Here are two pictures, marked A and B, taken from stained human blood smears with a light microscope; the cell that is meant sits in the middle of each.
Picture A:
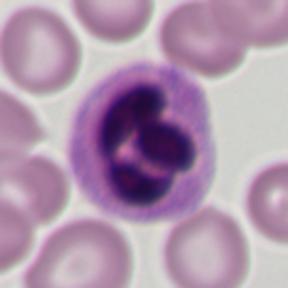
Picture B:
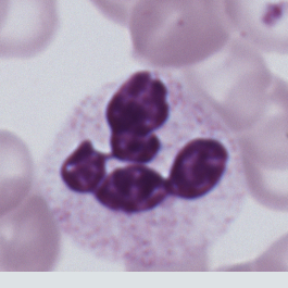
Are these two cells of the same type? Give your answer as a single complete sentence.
Yes; the cells in both pictures are segmented neutrophils.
